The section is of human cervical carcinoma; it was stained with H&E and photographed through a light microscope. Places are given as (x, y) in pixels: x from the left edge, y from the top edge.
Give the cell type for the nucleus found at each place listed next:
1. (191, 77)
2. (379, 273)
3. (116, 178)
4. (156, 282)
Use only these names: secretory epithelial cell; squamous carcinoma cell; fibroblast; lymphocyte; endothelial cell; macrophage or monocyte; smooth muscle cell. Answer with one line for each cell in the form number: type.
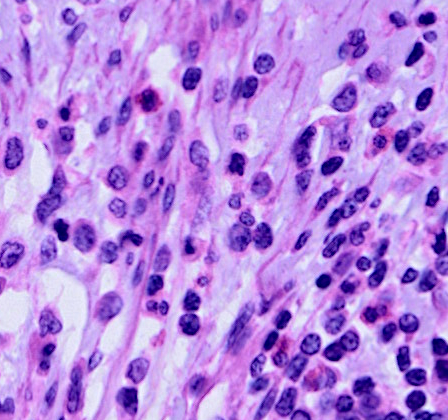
1: lymphocyte
2: lymphocyte
3: macrophage or monocyte
4: lymphocyte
